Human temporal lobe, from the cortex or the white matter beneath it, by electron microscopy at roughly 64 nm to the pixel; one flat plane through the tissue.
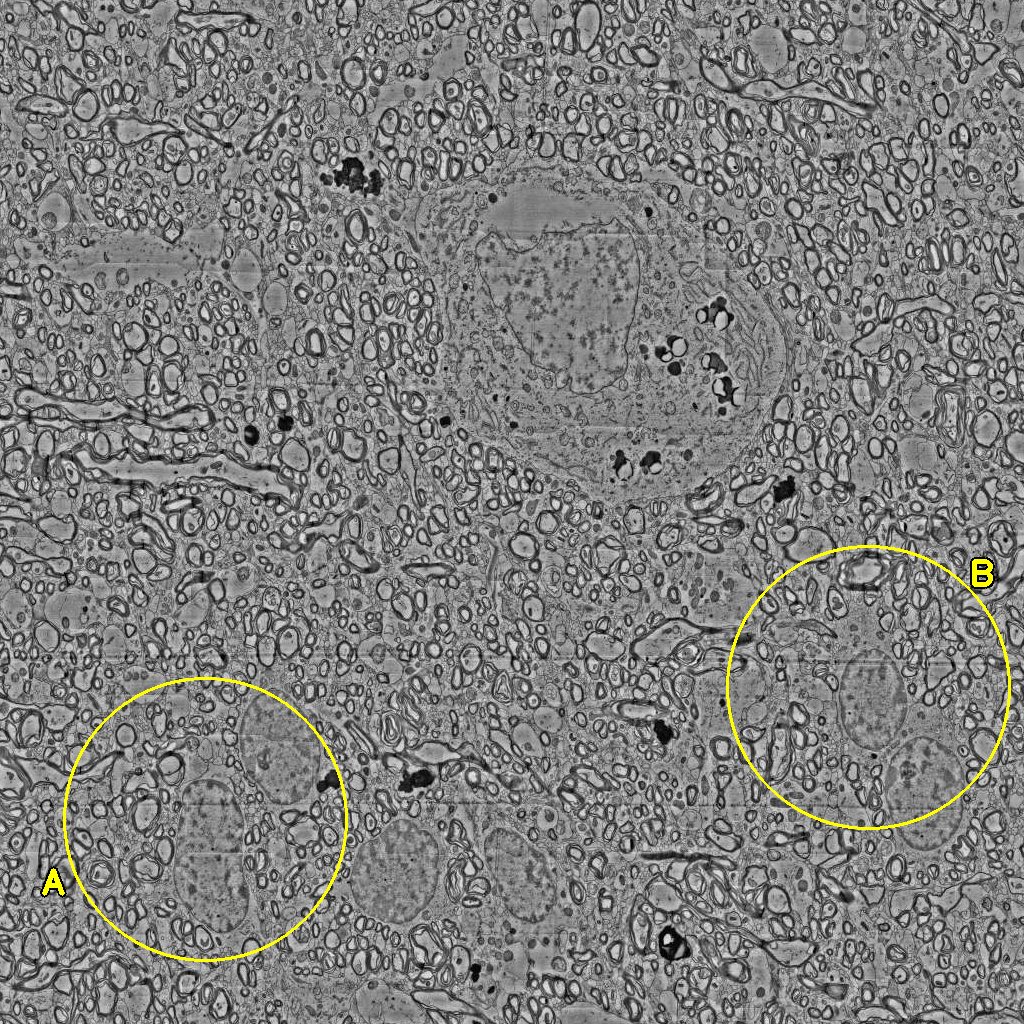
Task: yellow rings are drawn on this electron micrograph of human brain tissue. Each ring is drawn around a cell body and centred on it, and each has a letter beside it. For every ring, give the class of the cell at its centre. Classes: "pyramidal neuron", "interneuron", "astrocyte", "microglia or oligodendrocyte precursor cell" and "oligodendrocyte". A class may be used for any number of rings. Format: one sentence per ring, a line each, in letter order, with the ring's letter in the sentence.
The cell ringed as A is a microglial cell or oligodendrocyte precursor cell.
The cell ringed as B is an oligodendrocyte.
